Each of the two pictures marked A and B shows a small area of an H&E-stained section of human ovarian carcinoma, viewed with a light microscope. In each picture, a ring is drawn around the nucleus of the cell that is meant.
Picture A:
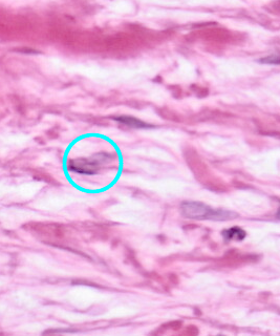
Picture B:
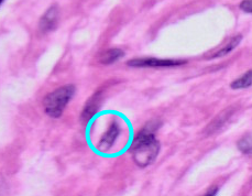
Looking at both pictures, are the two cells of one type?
yes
